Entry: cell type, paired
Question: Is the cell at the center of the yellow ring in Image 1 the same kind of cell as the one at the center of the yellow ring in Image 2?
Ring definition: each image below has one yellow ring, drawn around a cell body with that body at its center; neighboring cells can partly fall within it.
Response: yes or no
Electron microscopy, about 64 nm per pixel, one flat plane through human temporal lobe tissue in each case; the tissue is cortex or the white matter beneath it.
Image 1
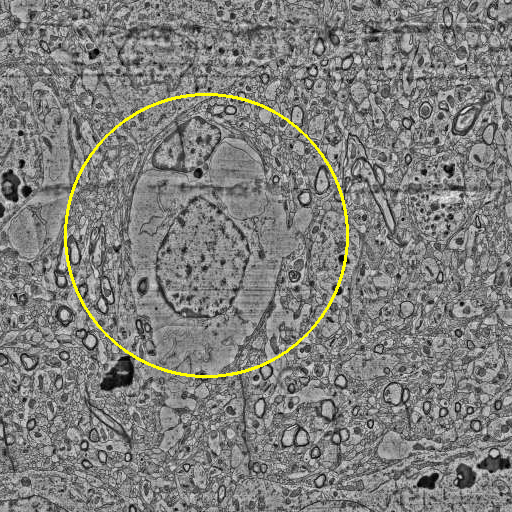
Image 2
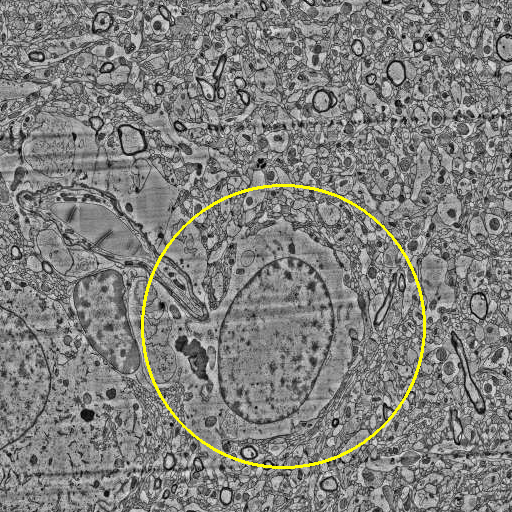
yes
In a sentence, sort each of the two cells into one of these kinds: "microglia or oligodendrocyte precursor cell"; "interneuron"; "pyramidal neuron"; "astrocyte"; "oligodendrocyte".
Each of the two cells is an astrocyte.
